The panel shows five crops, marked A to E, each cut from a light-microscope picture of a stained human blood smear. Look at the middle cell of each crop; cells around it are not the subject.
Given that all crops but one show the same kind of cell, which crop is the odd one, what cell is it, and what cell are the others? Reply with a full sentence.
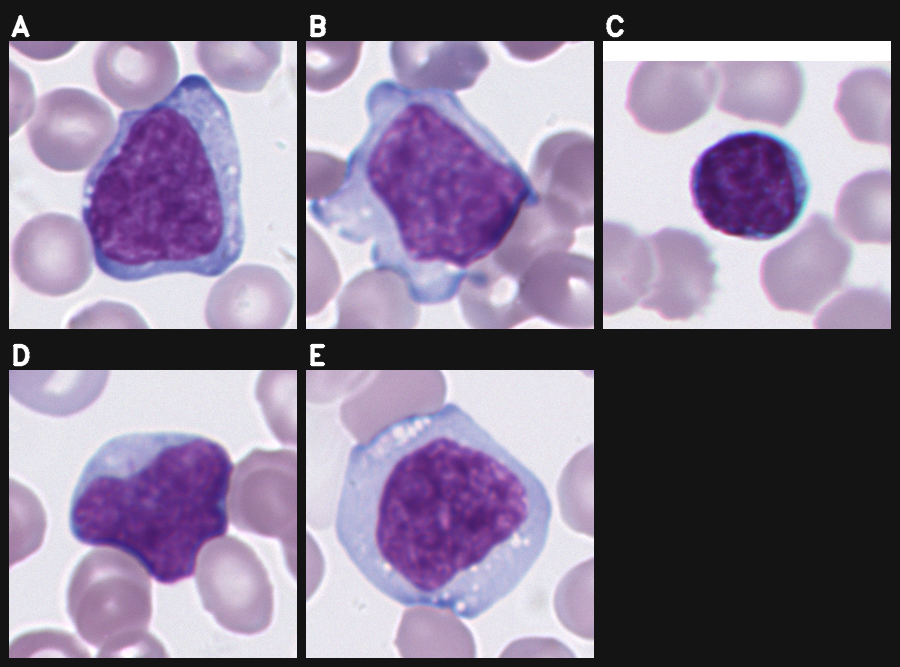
Only one crop differs, namely crop C, which is a lymphocyte; the others show blasts.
